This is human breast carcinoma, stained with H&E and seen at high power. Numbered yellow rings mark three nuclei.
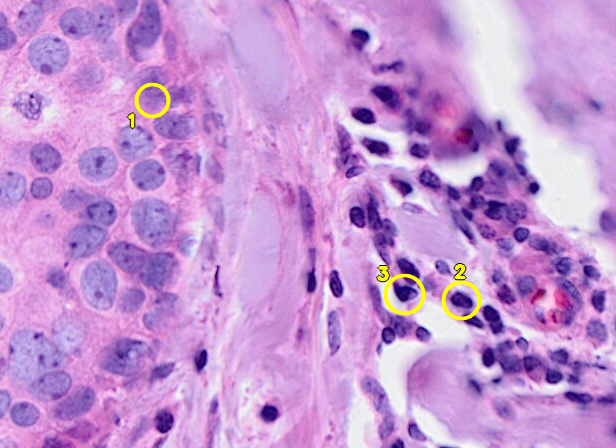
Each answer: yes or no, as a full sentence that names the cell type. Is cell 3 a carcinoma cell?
No, cell 3 is a lymphocyte; it is not a carcinoma cell.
